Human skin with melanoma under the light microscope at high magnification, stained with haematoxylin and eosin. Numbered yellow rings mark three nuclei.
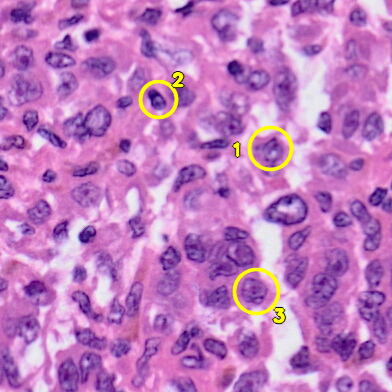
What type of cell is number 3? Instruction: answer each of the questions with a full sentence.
The marked cell with the number 3 is recognised as a melanoma cell.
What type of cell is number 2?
The cell pointed out as number 2 is a lymphocyte.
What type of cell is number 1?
The marked cell with the number 1 is recognised as a melanoma cell.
